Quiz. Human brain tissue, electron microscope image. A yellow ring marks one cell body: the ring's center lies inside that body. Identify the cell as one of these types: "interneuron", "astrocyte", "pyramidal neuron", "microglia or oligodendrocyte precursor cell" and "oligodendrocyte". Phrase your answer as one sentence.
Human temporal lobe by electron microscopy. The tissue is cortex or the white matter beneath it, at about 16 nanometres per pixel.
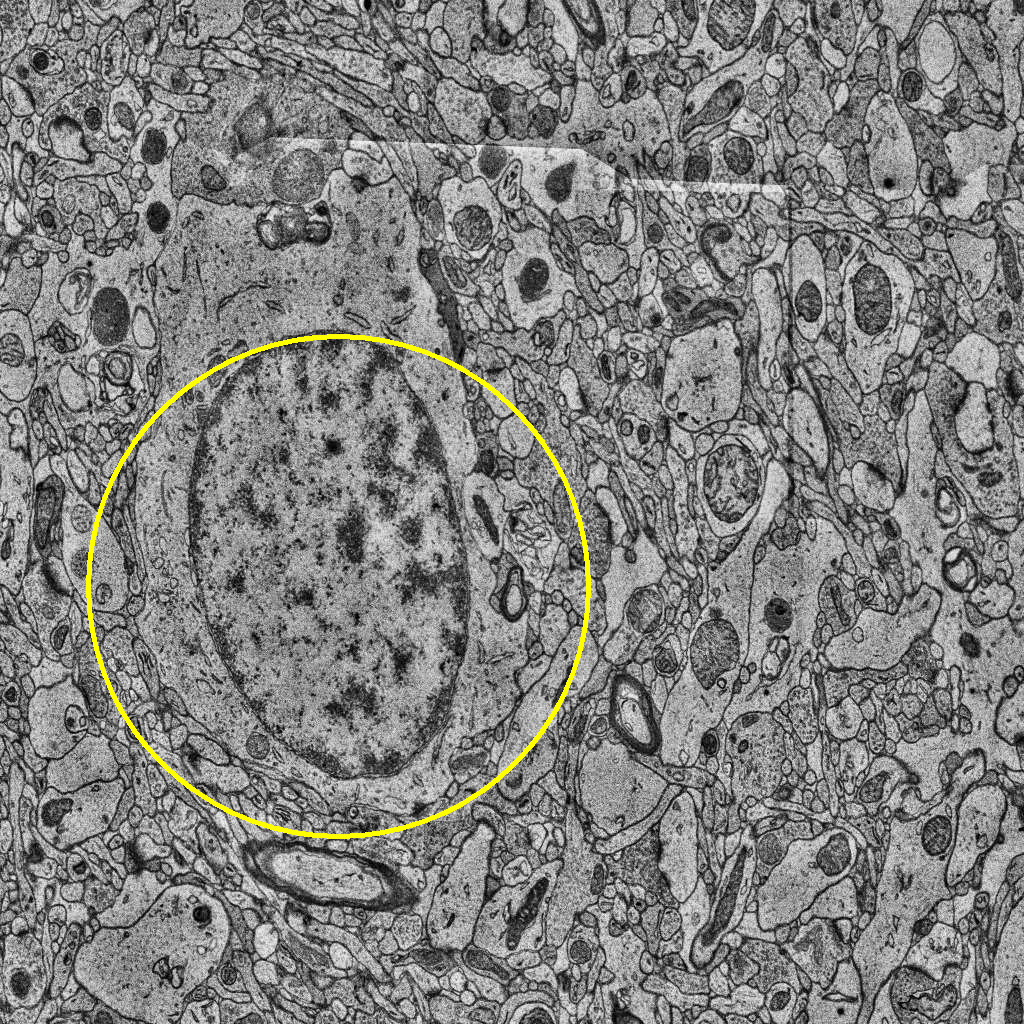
At the center of the ring sits a microglial cell or oligodendrocyte precursor cell.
